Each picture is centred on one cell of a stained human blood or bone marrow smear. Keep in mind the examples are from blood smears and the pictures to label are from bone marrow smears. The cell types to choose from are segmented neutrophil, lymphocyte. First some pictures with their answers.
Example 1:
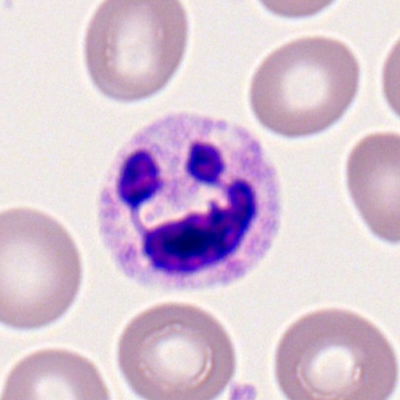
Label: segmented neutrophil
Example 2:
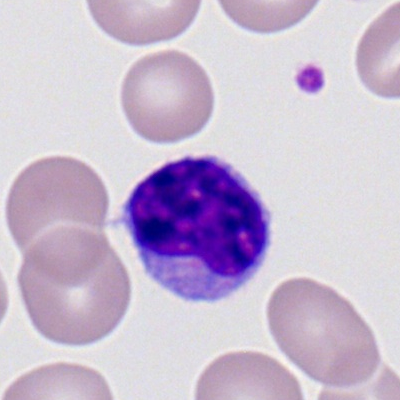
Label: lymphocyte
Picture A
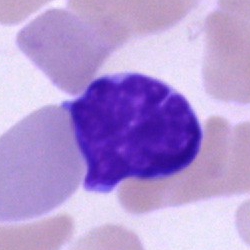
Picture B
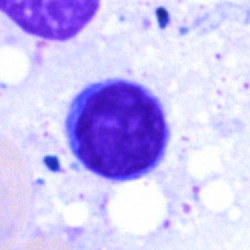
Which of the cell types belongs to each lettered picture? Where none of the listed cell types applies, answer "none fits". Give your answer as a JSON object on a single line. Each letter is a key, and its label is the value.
{"A": "lymphocyte", "B": "lymphocyte"}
